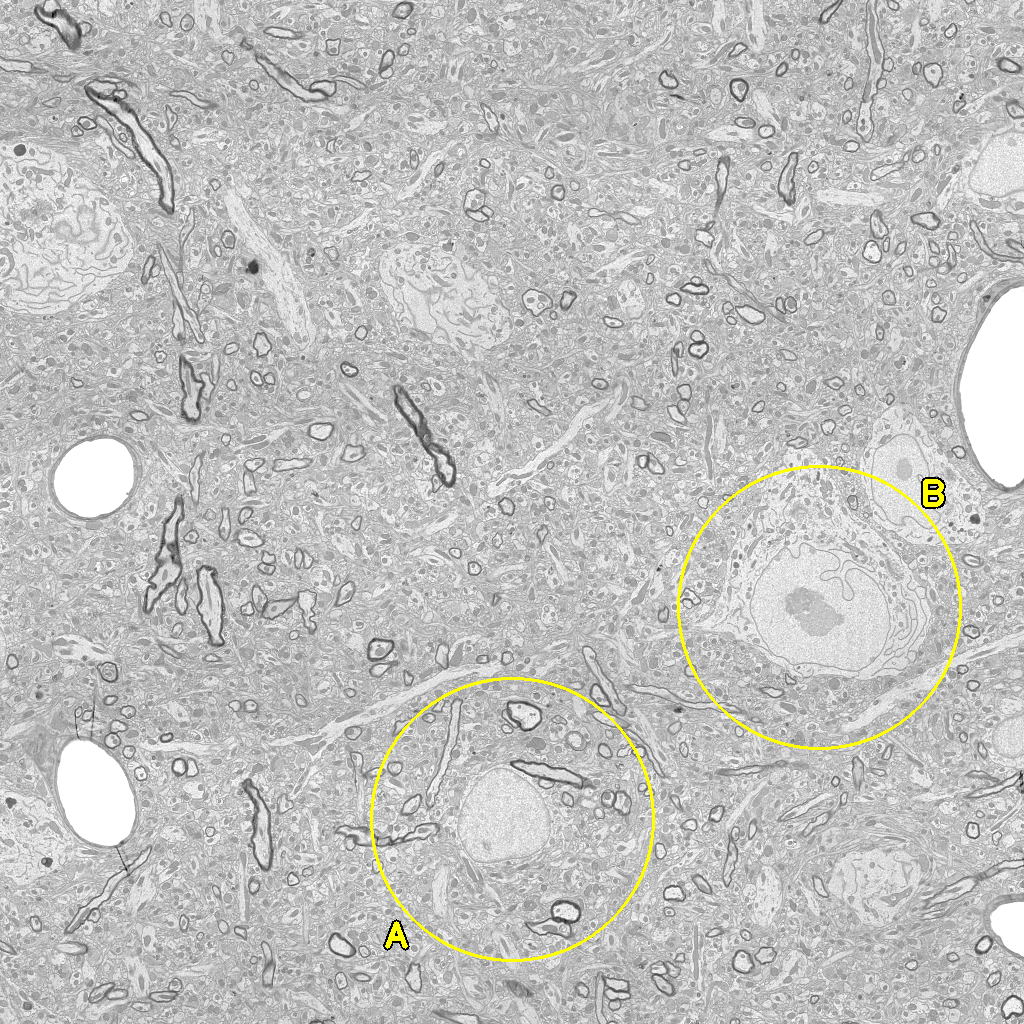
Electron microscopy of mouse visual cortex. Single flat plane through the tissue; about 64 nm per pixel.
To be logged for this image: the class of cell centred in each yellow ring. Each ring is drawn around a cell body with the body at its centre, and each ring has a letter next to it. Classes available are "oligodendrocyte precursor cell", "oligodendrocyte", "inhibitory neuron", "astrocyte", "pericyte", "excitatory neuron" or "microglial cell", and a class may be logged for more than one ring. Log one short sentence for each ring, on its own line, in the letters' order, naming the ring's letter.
The class recorded for ring A is an astrocyte.
The class recorded for ring B is an excitatory neuron.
